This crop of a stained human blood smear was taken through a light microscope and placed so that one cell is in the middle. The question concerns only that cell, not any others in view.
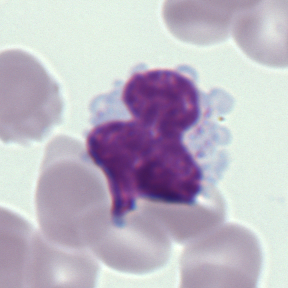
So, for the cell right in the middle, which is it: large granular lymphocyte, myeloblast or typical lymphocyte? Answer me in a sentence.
The cell found in the middle of this crop is a large granular lymphocyte.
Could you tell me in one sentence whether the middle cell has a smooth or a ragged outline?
Along the periphery, ragged stretches or projections make the outline irregular.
